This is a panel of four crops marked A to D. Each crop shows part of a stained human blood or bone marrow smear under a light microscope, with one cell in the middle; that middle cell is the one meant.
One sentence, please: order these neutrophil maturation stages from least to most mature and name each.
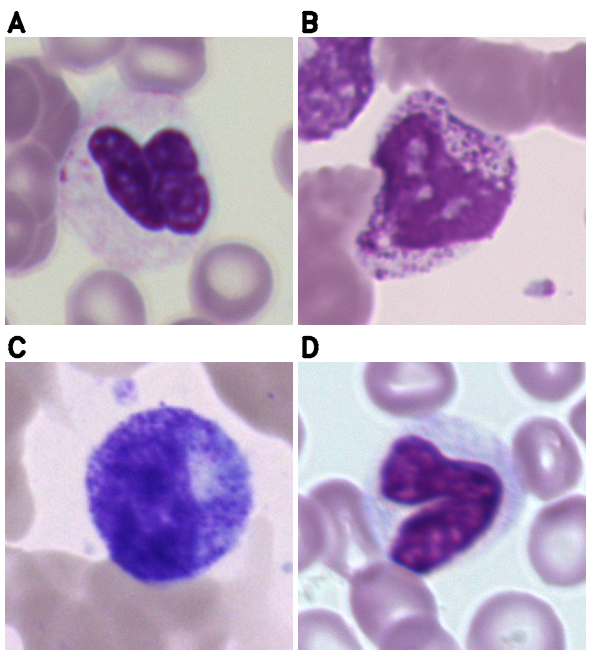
In ascending order of maturity, the sequence is crop C (a promyelocyte), crop B (a myelocyte), crop D (a band neutrophil) and crop A (a segmented neutrophil).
